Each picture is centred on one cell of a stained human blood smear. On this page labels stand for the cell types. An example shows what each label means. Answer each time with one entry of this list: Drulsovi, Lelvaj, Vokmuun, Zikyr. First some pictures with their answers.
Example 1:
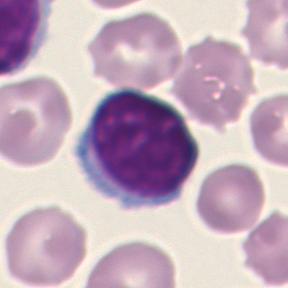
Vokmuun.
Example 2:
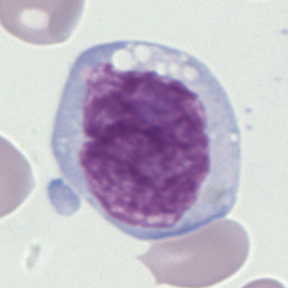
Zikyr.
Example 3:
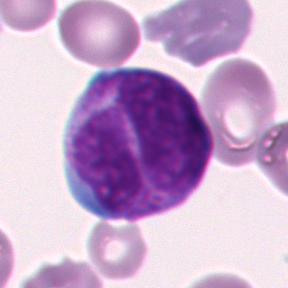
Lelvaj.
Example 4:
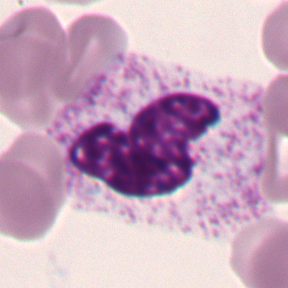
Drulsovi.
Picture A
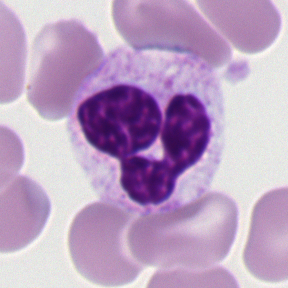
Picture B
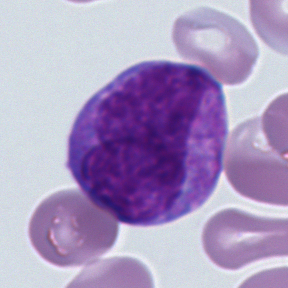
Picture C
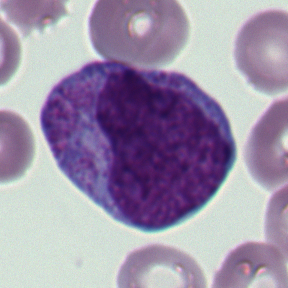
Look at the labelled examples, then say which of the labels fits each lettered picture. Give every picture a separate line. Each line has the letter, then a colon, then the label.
A: Drulsovi.
B: Lelvaj.
C: Lelvaj.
